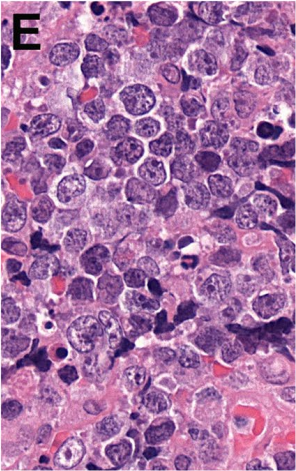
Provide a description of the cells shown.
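Sheet of large, polymorphic lymphoid cells. Nuclei vary in size and shape, round to irregular, with vesicular chromatin; several contain one or more prominent dark nucleoli. Cytoplasm is scant to moderate and pink-purple. Scattered among them are many shrunken, intensely dark, irregular cells and fragments, apoptotic cells, some clustered toward the lower right. Red blood cells appear as small bright red bodies between tumour cells. Cells are crowded without a regular arrangement.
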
